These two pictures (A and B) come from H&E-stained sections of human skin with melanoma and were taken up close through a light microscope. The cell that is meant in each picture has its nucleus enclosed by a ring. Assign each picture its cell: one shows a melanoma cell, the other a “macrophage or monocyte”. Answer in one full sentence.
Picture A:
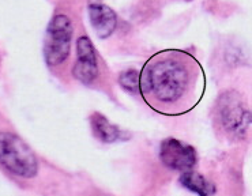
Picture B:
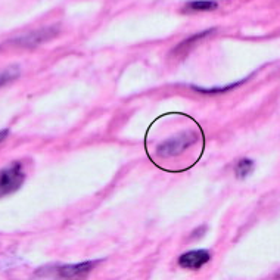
Picture A is of a melanoma cell, and picture B is of a “macrophage or monocyte”.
